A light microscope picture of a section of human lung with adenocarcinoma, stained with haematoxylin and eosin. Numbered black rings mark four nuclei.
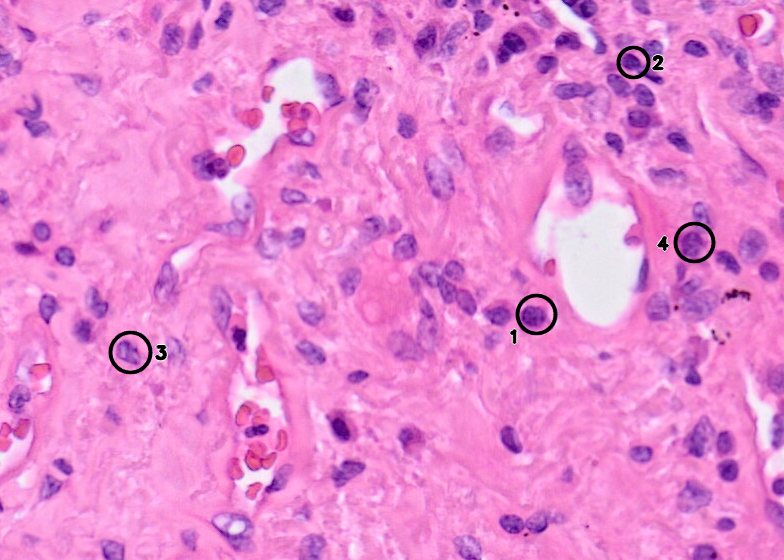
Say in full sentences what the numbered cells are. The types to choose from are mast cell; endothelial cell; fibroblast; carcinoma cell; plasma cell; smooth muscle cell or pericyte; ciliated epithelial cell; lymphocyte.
Cell 1 is a plasma cell, cell 2 is a lymphocyte, cell 3 is a fibroblast and cell 4 is a plasma cell.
